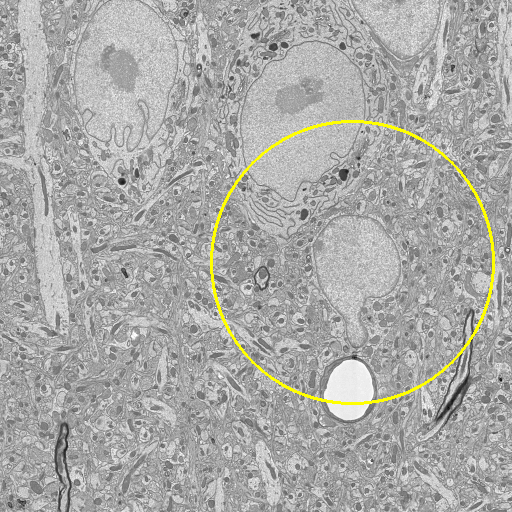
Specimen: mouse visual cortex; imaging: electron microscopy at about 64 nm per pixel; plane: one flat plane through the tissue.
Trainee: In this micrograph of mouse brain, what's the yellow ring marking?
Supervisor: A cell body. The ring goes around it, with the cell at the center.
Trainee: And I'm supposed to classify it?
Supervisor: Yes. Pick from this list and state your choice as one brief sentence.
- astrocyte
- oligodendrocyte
The cell at the ring's center is an astrocyte.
